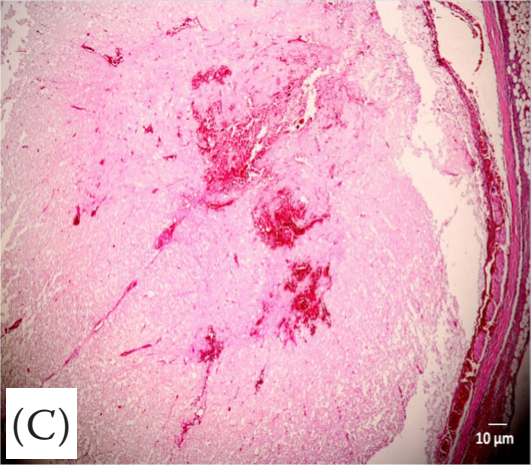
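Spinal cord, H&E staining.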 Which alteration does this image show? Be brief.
Foci of bleeding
